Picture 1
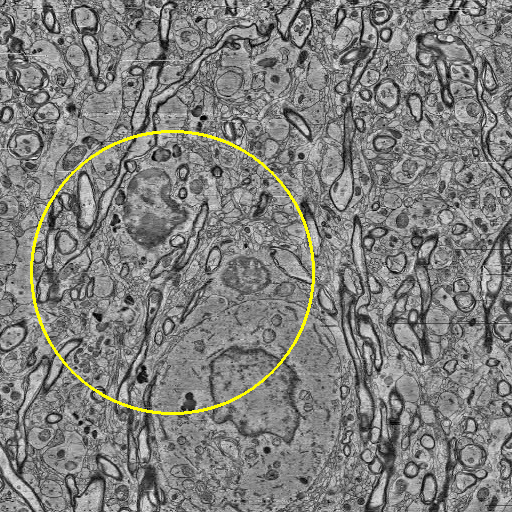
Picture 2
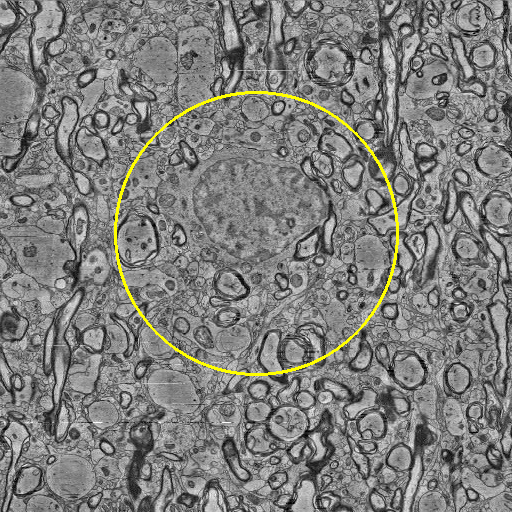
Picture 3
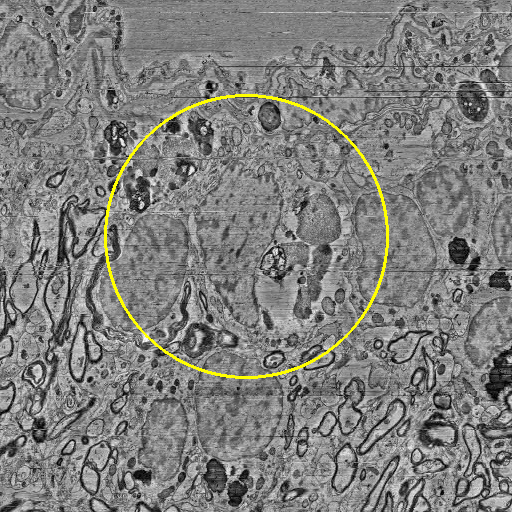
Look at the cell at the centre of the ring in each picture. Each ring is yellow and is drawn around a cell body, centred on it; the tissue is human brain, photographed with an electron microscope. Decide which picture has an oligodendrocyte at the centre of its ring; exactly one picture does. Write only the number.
2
